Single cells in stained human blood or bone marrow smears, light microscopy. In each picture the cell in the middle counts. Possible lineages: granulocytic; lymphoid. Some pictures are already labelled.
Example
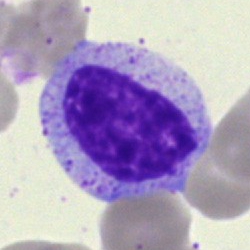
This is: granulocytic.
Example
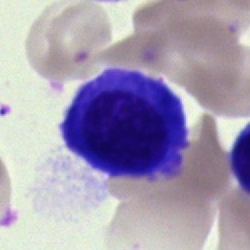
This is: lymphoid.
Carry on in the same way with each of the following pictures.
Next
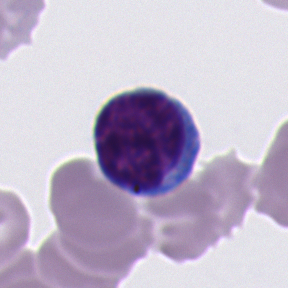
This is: lymphoid.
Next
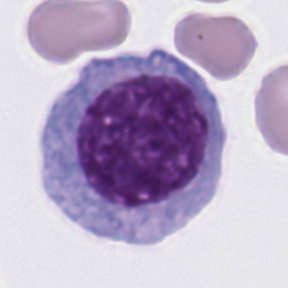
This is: lymphoid.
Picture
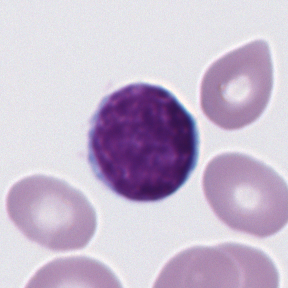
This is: lymphoid.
